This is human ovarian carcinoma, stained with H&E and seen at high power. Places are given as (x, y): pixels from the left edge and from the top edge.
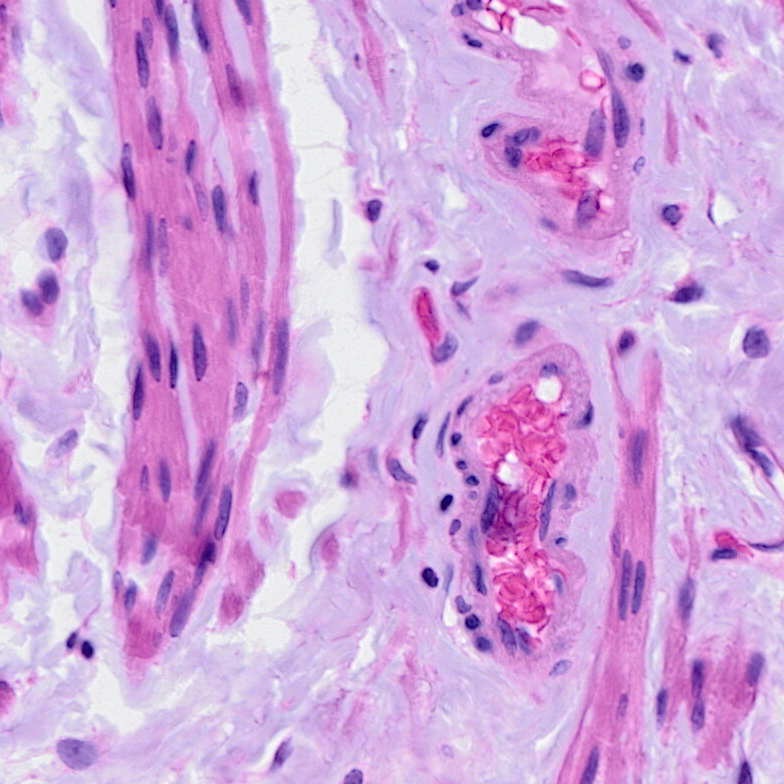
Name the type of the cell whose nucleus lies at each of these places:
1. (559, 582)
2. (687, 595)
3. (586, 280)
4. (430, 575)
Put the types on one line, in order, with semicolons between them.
endothelial cell; smooth muscle cell; fibroblast; lymphocyte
